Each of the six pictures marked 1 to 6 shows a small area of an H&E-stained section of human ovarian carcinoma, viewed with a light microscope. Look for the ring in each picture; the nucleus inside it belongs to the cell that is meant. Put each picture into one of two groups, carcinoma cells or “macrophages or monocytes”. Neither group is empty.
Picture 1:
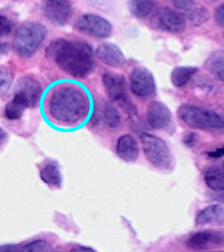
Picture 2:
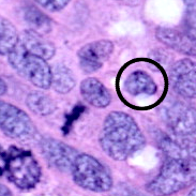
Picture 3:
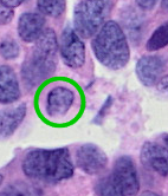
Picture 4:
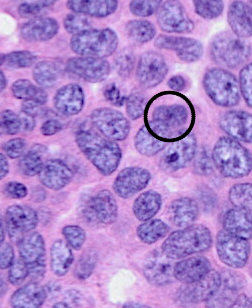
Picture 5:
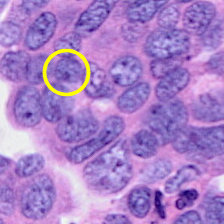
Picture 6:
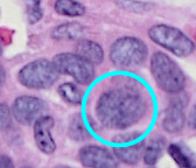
1: carcinoma cell
2: macrophage or monocyte
3: macrophage or monocyte
4: carcinoma cell
5: carcinoma cell
6: carcinoma cell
